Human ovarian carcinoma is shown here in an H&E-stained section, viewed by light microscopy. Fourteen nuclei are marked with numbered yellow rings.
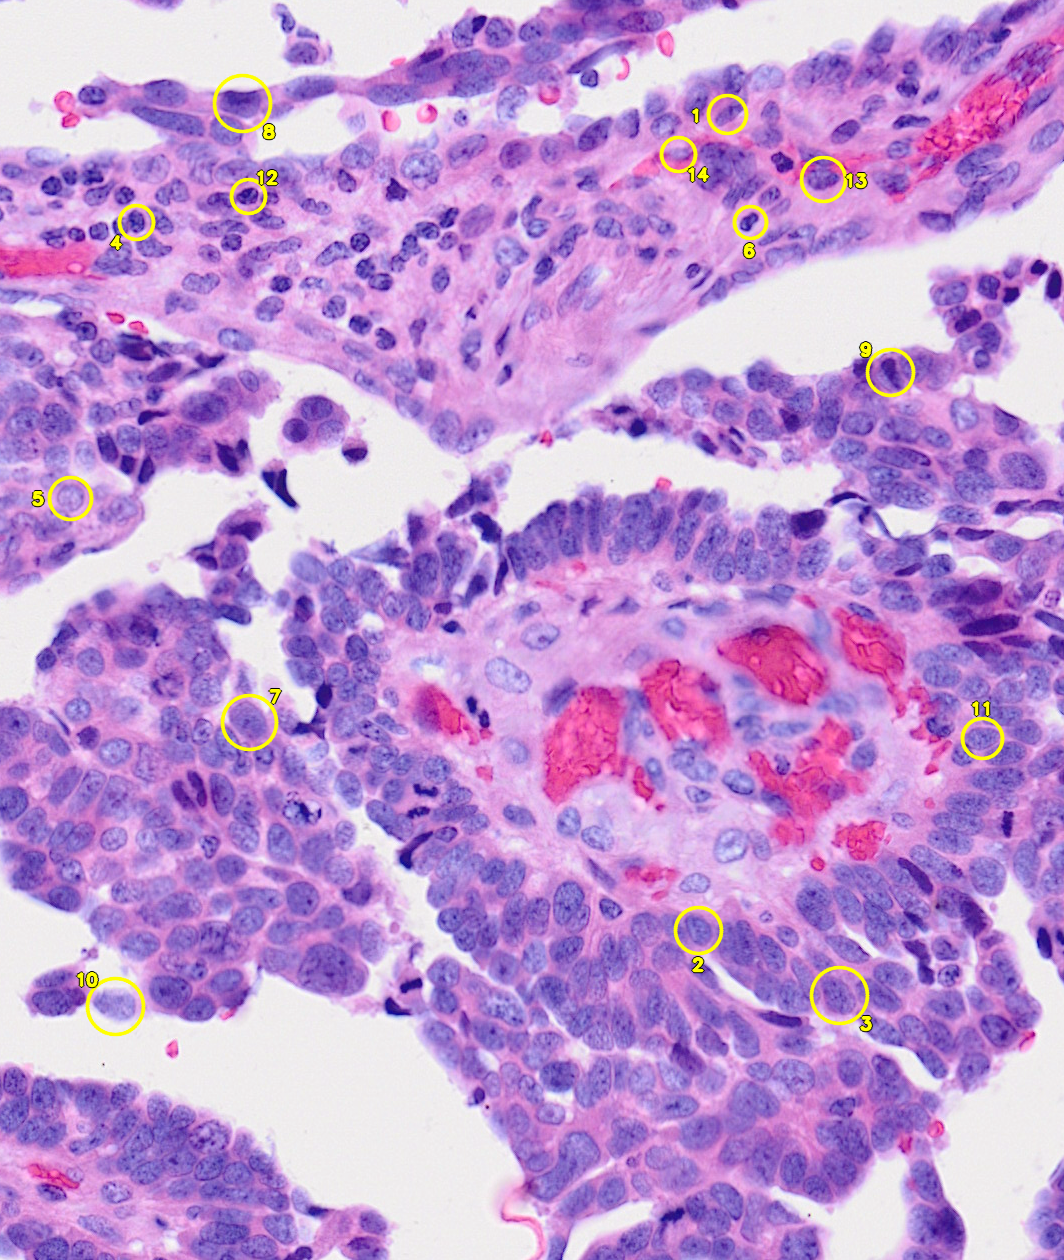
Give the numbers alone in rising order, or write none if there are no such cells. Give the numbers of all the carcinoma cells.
2, 3, 5, 7, 8, 9, 10, 11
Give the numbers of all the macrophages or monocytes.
1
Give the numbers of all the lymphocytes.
4, 6, 12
